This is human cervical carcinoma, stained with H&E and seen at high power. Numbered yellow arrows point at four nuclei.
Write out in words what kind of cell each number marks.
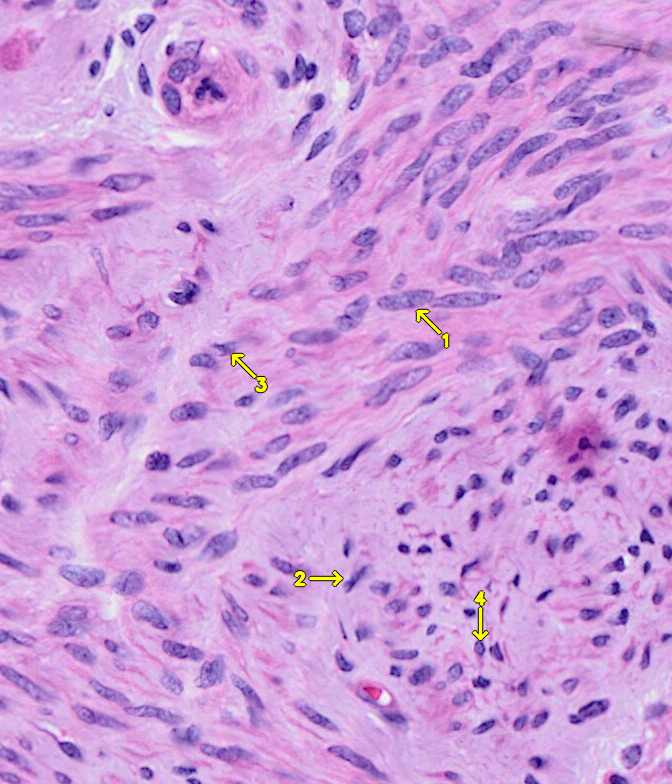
Cell 1 is a smooth muscle cell, cell 2 is a fibroblast, cell 3 is a smooth muscle cell and cell 4 is a smooth muscle cell.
